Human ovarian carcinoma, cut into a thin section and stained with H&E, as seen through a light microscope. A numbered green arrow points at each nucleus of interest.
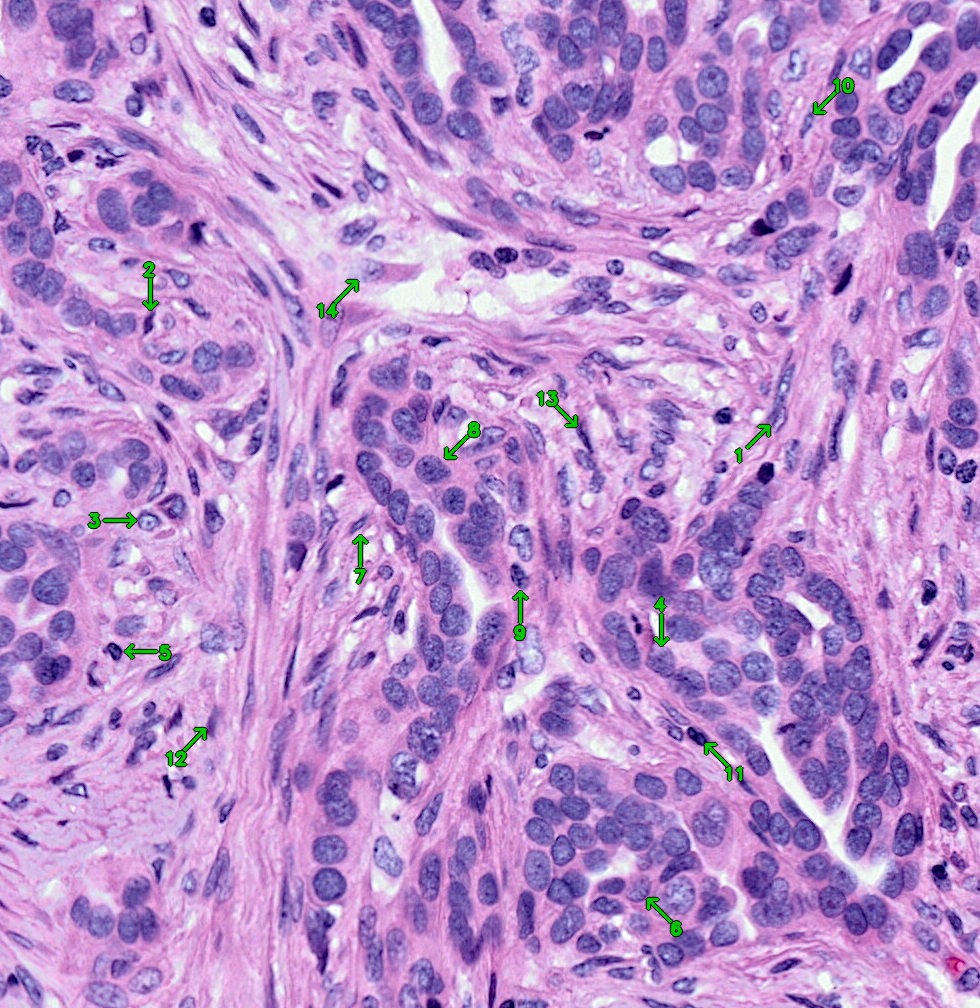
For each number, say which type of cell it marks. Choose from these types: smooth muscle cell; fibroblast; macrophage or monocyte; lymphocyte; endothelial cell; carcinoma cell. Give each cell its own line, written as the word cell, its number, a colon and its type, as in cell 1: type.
cell 1: fibroblast
cell 2: fibroblast
cell 3: fibroblast
cell 4: carcinoma cell
cell 5: lymphocyte
cell 6: carcinoma cell
cell 7: fibroblast
cell 8: carcinoma cell
cell 9: lymphocyte
cell 10: fibroblast
cell 11: lymphocyte
cell 12: fibroblast
cell 13: fibroblast
cell 14: fibroblast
